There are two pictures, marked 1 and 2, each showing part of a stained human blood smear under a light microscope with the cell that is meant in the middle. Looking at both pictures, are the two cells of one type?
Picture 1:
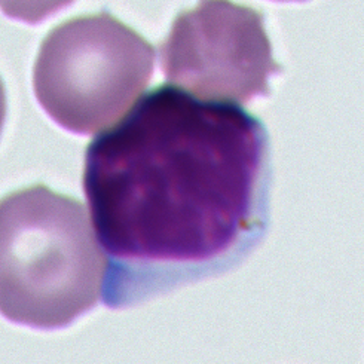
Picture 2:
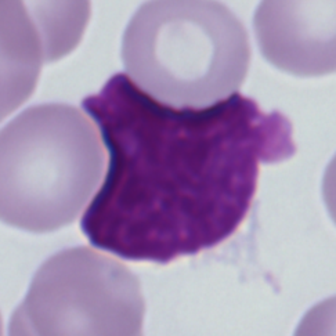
no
